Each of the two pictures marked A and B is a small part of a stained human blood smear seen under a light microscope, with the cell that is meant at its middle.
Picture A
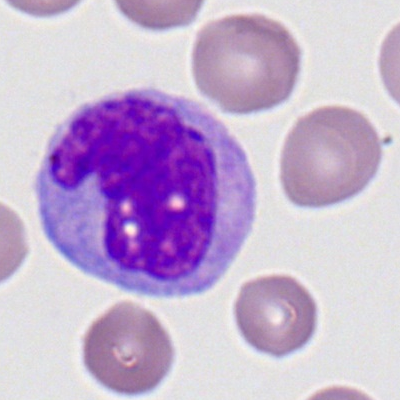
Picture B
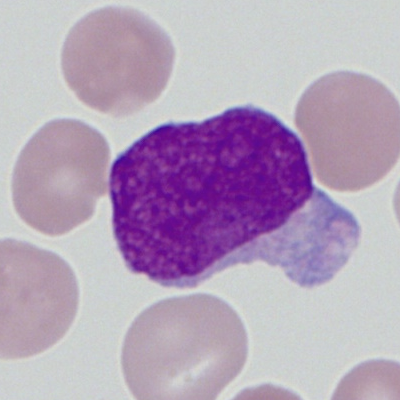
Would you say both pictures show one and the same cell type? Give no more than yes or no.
no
